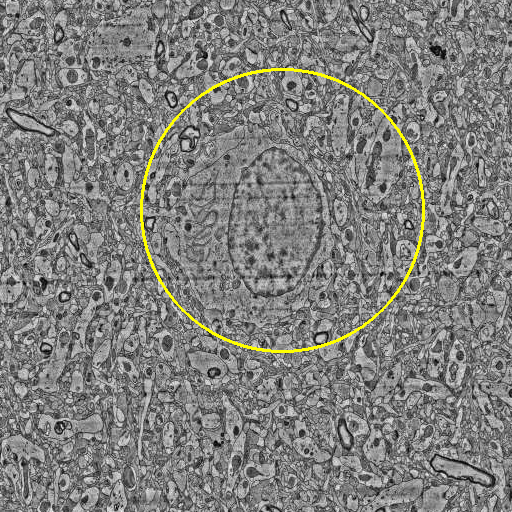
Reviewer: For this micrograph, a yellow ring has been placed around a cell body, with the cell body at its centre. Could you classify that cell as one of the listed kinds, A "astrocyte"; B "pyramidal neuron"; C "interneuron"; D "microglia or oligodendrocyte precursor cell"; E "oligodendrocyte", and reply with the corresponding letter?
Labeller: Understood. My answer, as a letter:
C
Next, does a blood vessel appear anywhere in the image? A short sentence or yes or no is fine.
No, none appears.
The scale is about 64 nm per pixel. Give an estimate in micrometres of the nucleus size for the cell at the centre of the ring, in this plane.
About 9 by 6 micrometers; the nucleus is clearly longer than it is wide in this plane.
